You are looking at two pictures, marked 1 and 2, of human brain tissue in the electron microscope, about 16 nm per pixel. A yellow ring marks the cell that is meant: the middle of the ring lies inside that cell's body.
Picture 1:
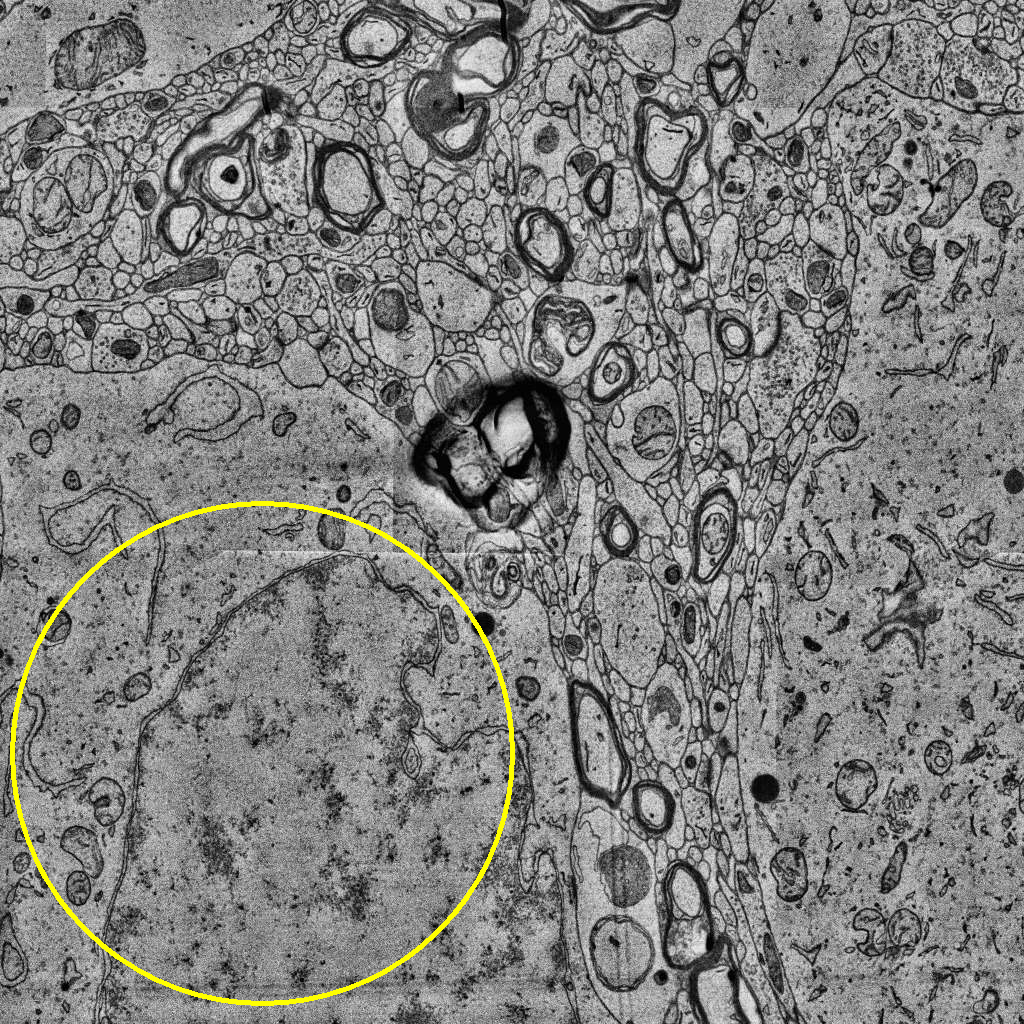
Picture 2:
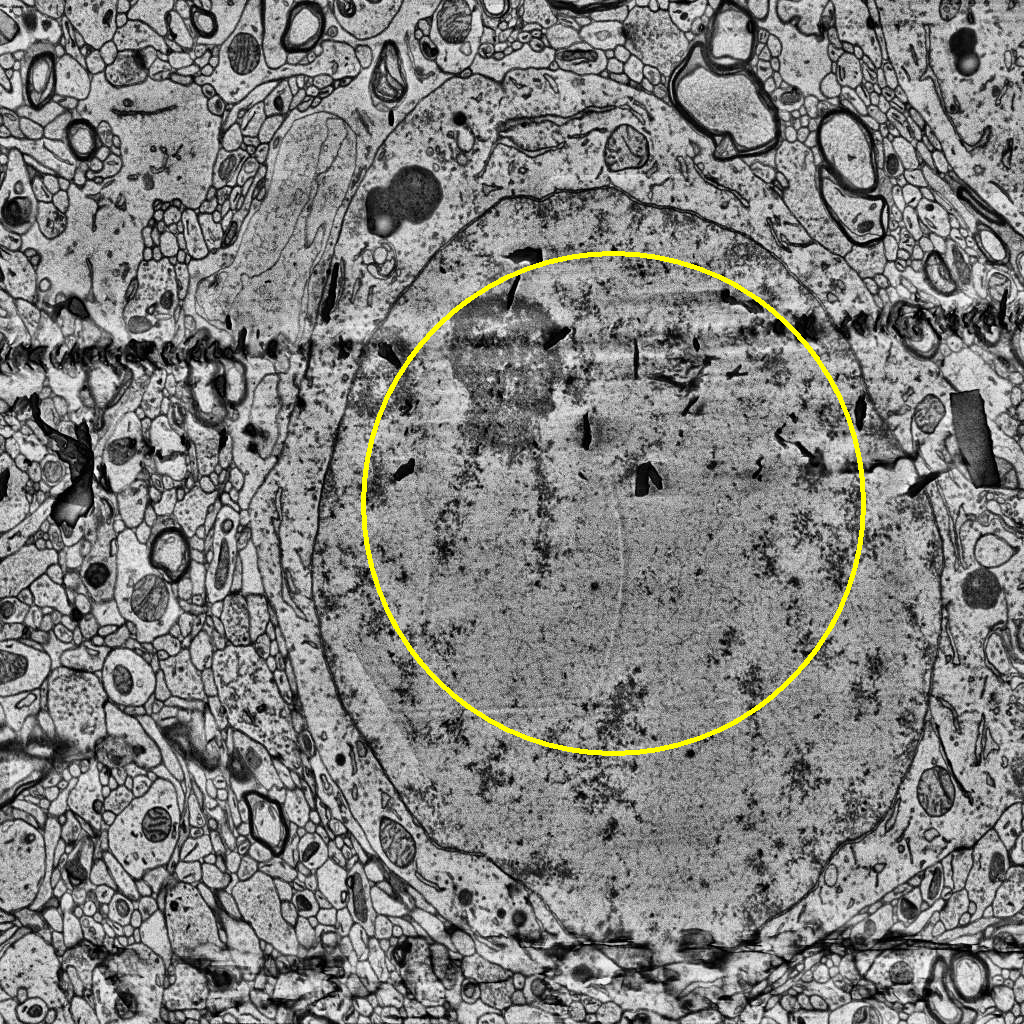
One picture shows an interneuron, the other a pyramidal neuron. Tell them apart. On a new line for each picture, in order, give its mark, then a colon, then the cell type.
1: interneuron
2: pyramidal neuron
